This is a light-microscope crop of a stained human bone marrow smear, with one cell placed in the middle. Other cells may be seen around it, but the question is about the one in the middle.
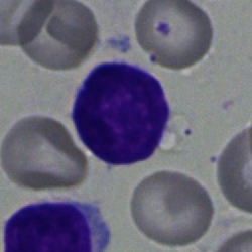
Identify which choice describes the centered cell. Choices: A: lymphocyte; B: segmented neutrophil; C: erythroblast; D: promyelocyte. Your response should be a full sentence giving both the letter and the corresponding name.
Option A is the correct one; it names the central cell as a lymphocyte.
